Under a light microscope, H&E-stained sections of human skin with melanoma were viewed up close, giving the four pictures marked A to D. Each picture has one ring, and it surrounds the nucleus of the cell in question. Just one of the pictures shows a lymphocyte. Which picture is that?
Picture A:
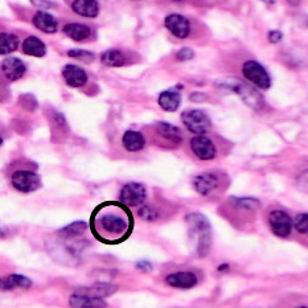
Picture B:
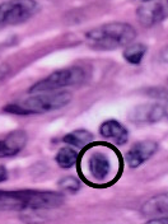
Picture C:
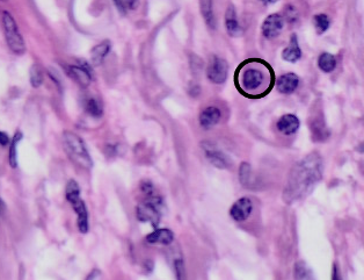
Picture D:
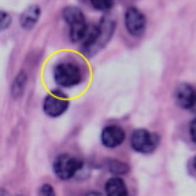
B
